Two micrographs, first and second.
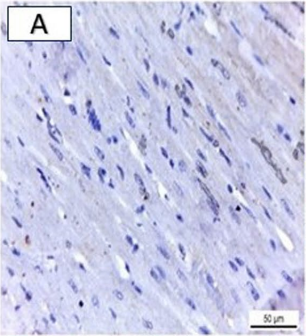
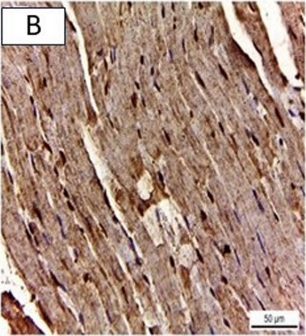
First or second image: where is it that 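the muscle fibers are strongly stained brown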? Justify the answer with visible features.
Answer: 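The second image. First image: fibers are pale blue-grey with blue nuclei and almost no brown.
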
